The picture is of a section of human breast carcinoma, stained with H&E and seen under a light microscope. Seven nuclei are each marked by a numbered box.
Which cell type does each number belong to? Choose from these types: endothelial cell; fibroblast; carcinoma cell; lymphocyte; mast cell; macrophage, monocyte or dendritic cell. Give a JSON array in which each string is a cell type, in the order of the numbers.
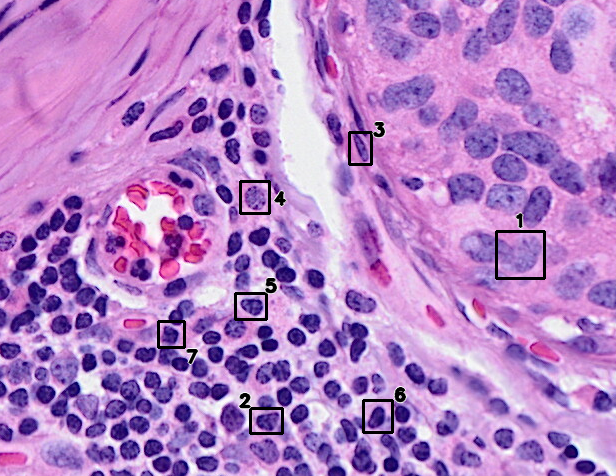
["carcinoma cell", "lymphocyte", "endothelial cell", "mast cell", "lymphocyte", "lymphocyte", "lymphocyte"]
